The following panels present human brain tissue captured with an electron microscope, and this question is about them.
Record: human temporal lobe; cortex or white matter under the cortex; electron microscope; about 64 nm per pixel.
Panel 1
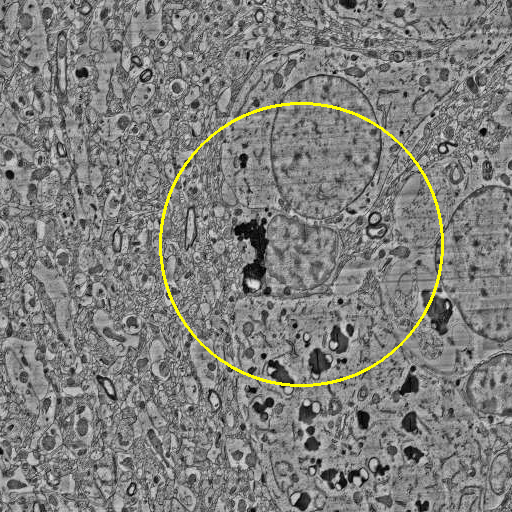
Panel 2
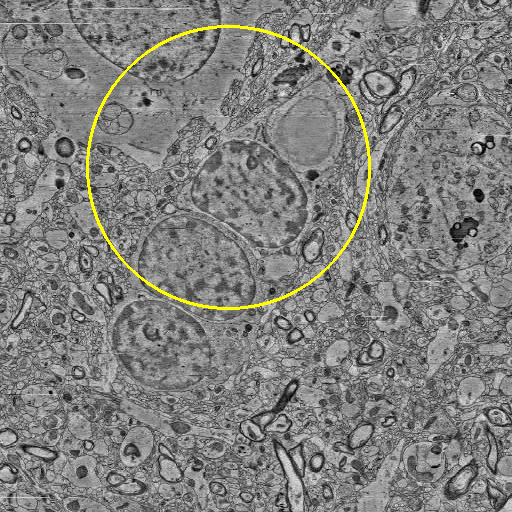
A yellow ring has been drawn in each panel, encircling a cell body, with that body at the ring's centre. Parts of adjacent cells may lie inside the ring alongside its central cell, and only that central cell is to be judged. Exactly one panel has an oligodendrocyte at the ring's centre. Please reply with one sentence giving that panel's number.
The ring whose central cell fits the description is the one in panel 1.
